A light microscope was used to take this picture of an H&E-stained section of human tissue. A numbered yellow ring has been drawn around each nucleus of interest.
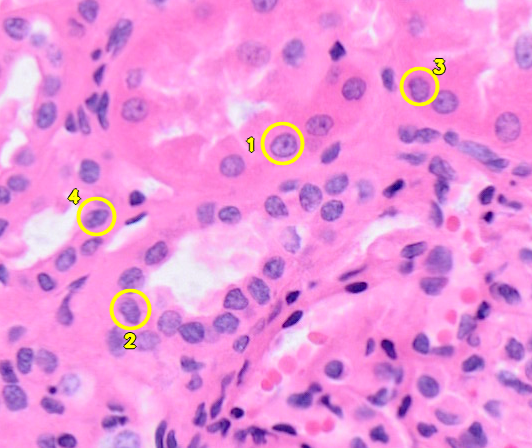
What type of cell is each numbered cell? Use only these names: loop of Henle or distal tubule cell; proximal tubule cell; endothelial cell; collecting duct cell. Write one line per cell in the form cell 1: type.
cell 1: proximal tubule cell
cell 2: loop of Henle or distal tubule cell
cell 3: proximal tubule cell
cell 4: collecting duct cell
